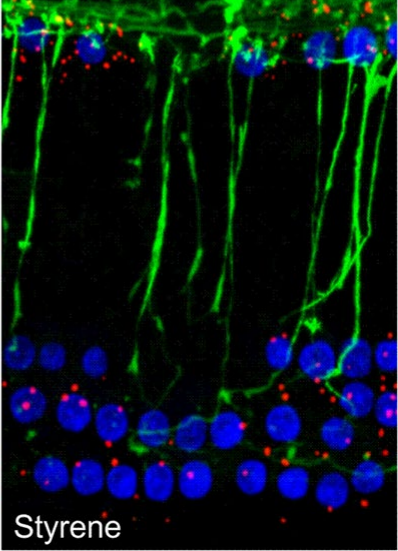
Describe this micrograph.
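This surface view of the organ of Corti shows a single upper row of inner hair cells and three lower rows of outer hair cells, recognised by their round blue nuclei. Red dots lie near the inner hair cell row and scattered among the outer hair cell nuclei. Green nerve fibres descend from the region of the inner row toward the outer rows, and a clumped, irregular green network lies above the inner row.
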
